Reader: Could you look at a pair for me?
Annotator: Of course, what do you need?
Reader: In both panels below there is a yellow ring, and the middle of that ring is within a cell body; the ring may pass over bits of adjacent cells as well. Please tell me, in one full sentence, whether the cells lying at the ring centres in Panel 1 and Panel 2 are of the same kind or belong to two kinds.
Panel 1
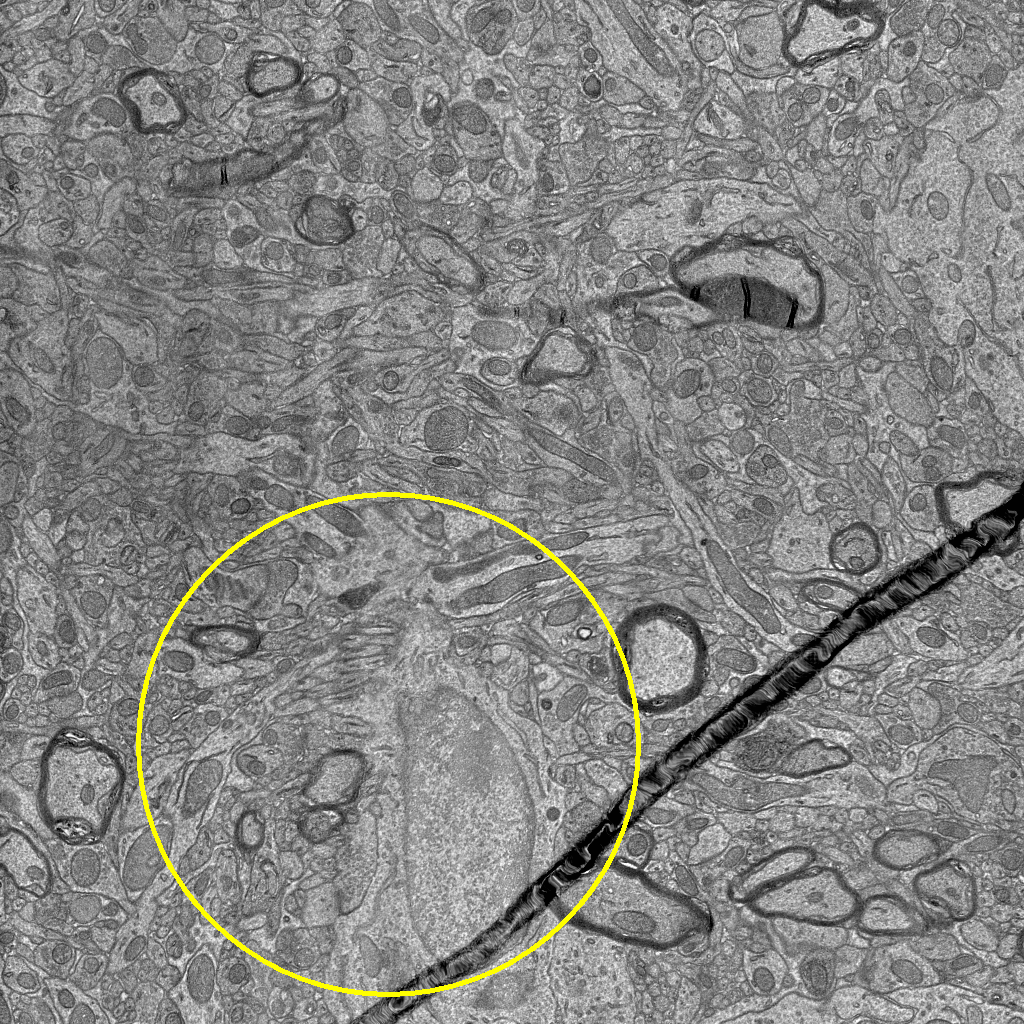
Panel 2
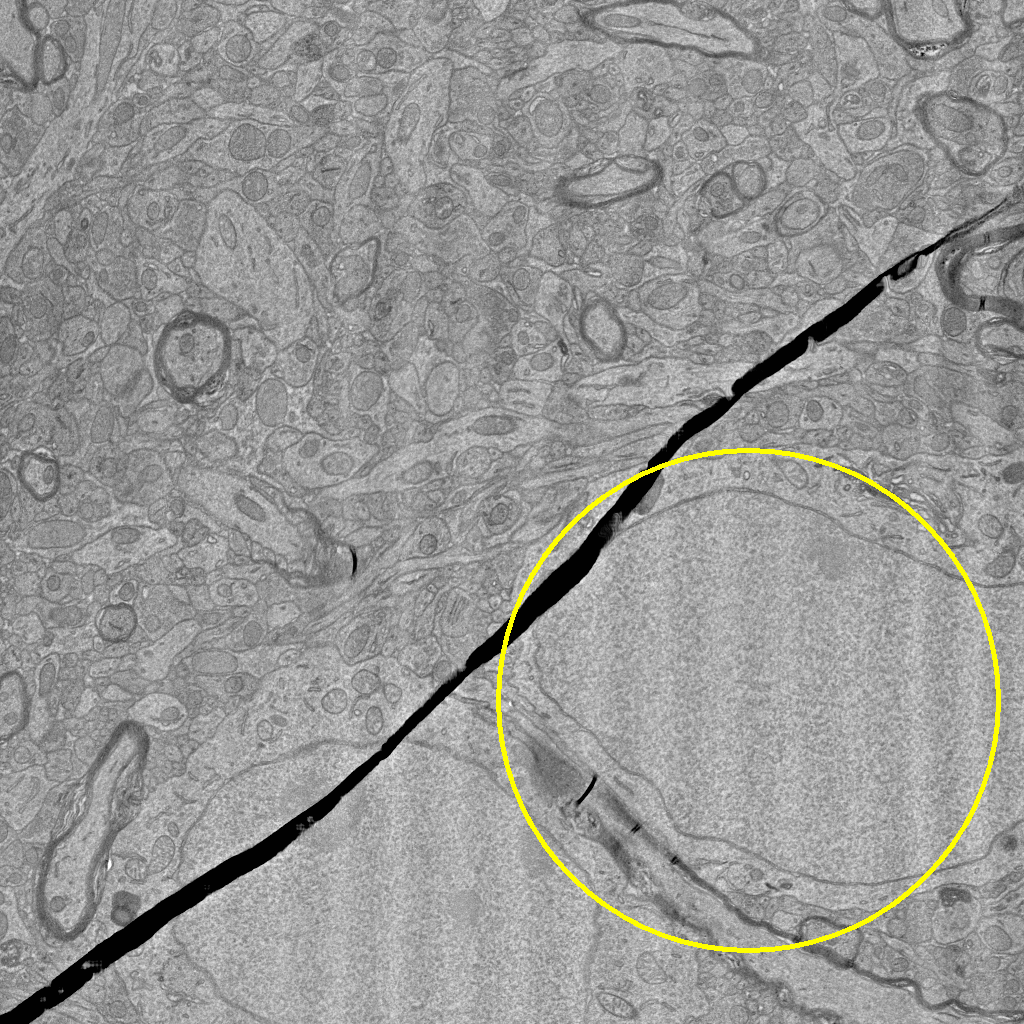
The cell at the ring's centre in Panel 1 and the one in Panel 2 belong to two kinds.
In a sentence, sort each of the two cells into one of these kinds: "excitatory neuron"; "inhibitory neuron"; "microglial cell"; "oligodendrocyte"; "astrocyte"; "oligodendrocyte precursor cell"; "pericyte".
Of the two, the first cell is an oligodendrocyte and the second cell is an excitatory neuron.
